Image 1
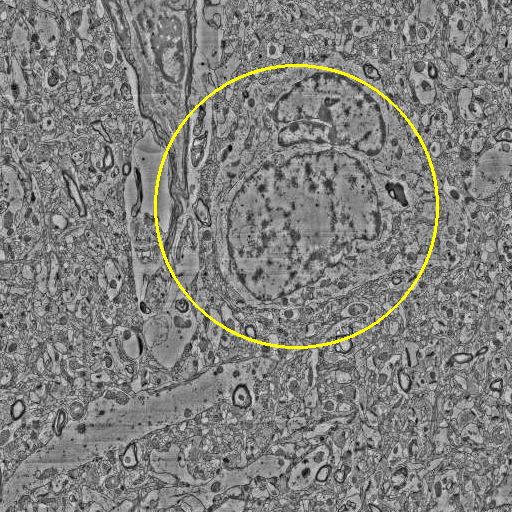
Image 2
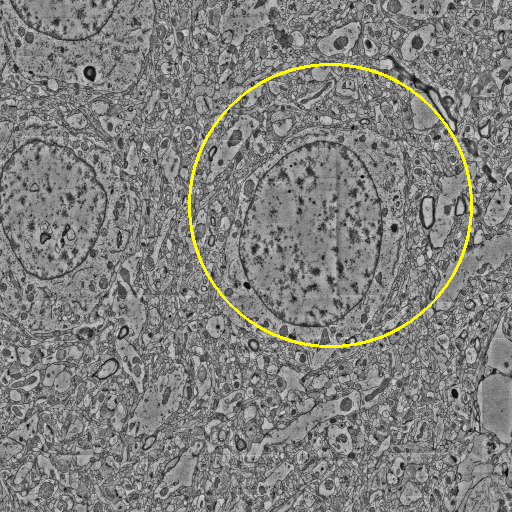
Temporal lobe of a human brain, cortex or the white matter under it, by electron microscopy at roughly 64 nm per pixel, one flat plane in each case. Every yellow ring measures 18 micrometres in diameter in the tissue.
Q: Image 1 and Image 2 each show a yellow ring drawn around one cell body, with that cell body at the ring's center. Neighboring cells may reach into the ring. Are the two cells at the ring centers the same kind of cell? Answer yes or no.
no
